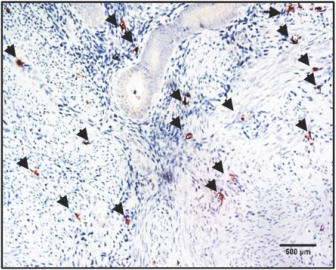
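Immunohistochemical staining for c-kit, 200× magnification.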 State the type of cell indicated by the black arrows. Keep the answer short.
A: mast cells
